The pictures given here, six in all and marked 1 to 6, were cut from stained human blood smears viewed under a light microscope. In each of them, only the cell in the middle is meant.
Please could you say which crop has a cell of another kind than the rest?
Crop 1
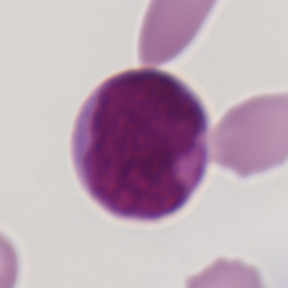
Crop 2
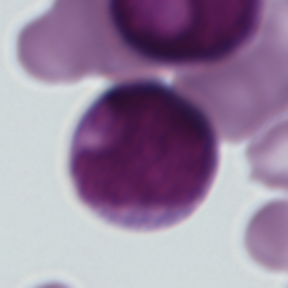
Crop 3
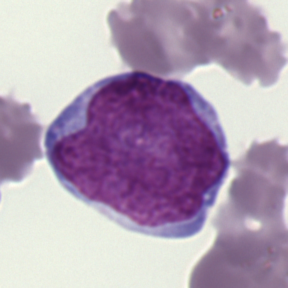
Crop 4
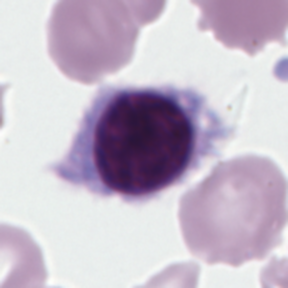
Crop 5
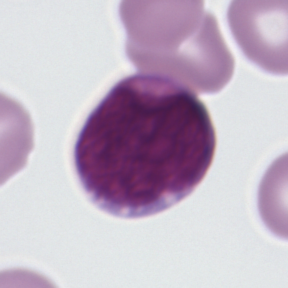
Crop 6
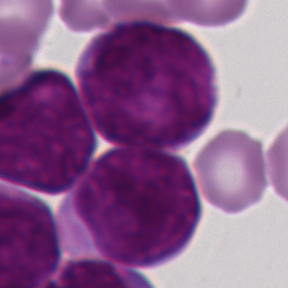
4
